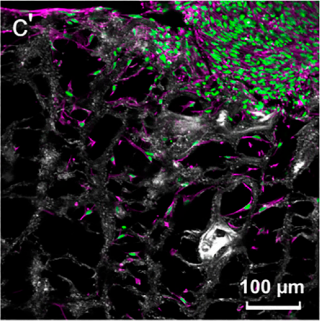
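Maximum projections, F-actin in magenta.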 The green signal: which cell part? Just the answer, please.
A: Nuclei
